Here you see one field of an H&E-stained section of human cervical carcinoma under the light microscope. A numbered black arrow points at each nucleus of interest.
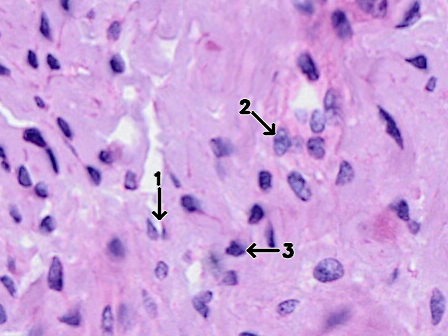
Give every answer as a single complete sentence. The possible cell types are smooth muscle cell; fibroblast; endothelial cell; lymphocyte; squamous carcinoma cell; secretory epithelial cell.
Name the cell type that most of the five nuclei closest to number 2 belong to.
Of the five nuclei nearest to number 2, most belong to endothelial cells.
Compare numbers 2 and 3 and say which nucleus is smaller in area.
With nucleus 2 about 2 times its size, nucleus 3 is the smaller of the two.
